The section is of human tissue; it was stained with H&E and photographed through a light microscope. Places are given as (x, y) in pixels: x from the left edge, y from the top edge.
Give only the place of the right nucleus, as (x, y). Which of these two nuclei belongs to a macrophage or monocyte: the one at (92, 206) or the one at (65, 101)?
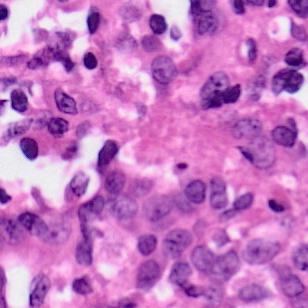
(65, 101)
